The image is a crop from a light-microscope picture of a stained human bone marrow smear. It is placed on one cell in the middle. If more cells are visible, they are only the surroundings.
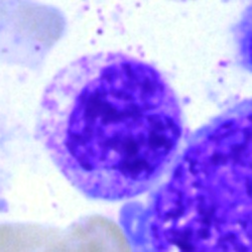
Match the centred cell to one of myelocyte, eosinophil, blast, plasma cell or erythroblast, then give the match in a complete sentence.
The center cell of this crop is a myelocyte.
